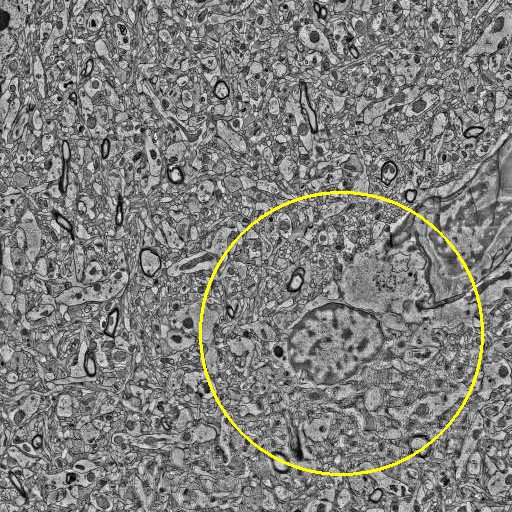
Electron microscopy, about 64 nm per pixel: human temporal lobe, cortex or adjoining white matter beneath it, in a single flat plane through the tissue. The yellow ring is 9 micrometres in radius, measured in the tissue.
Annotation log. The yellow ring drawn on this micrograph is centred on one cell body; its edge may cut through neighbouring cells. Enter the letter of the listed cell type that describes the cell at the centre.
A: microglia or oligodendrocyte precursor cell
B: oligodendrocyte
A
